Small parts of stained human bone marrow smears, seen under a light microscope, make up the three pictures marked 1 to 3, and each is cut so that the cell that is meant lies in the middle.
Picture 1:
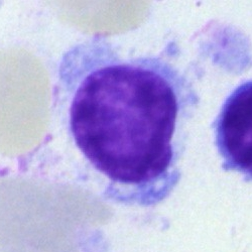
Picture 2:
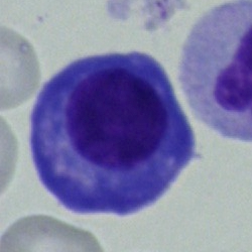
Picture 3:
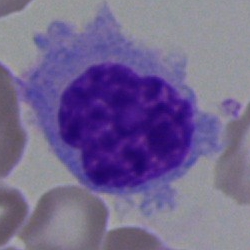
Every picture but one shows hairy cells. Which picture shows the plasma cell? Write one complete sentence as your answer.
It is picture 2 that shows the plasma cell.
